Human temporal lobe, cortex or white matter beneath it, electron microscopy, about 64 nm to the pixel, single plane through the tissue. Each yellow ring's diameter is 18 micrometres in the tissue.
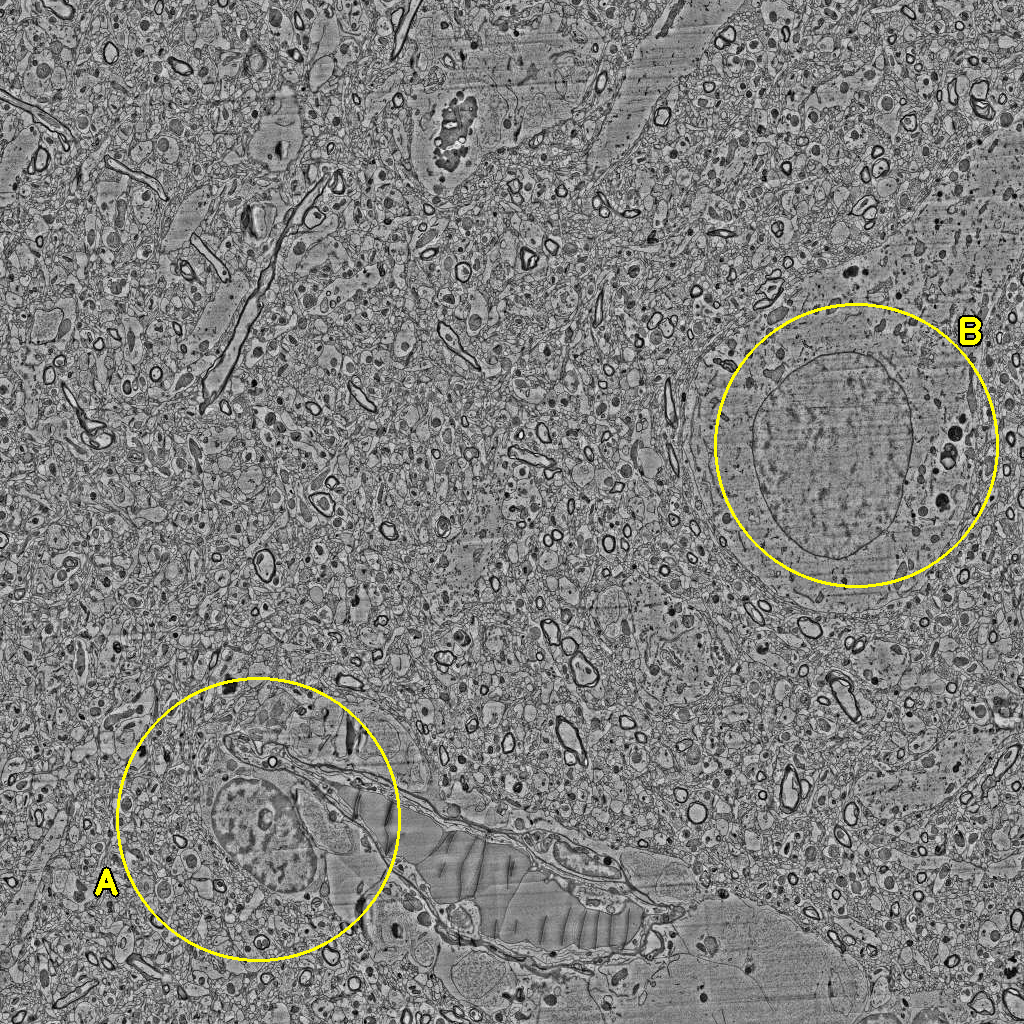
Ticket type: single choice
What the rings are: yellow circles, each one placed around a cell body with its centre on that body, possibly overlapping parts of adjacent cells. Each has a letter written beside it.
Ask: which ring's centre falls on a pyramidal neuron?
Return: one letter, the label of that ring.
B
